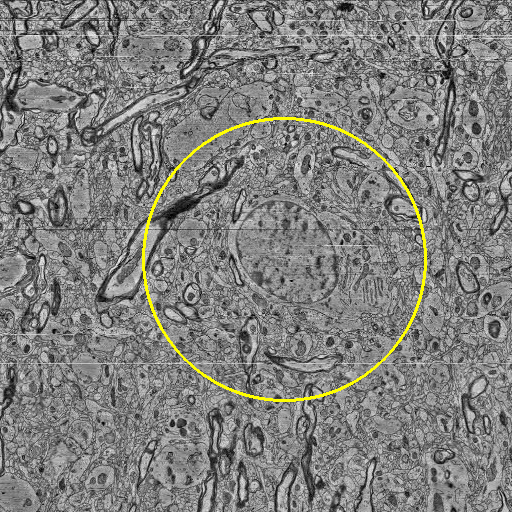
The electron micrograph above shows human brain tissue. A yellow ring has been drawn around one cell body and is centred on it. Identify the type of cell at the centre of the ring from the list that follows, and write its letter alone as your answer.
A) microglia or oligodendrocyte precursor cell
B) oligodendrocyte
A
